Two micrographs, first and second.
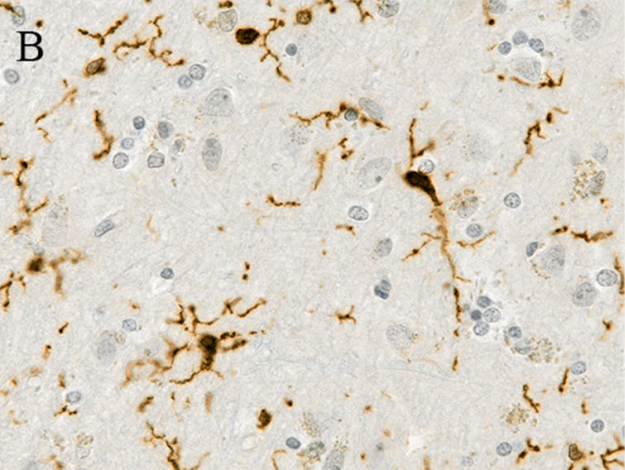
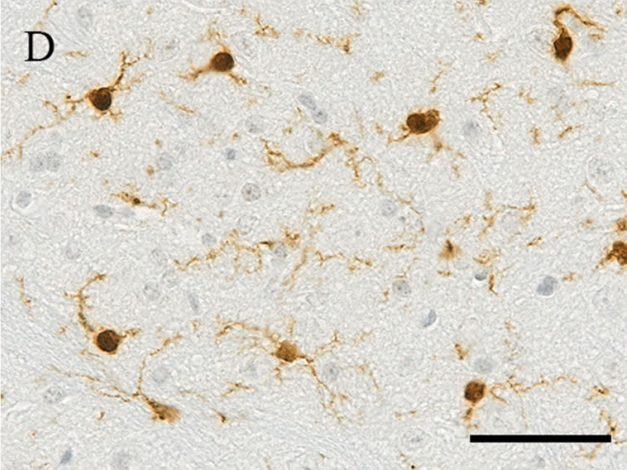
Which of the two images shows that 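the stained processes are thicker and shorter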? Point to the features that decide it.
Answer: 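The first image. Second image: brown cells have long, thin, delicate branching processes. First image: brown processes are coarse, thick, dark and short.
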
